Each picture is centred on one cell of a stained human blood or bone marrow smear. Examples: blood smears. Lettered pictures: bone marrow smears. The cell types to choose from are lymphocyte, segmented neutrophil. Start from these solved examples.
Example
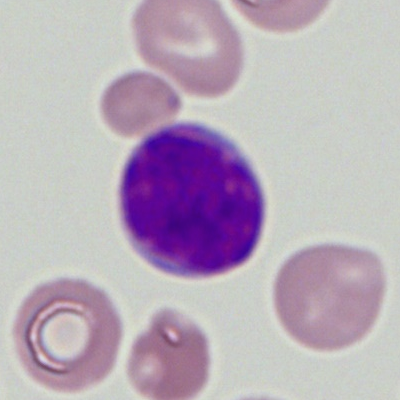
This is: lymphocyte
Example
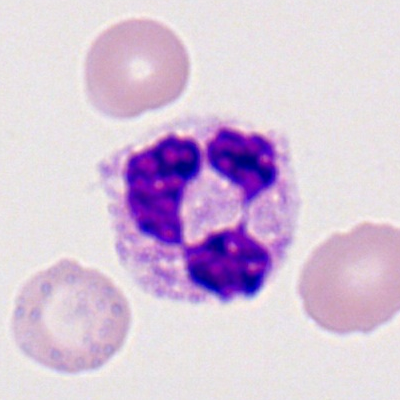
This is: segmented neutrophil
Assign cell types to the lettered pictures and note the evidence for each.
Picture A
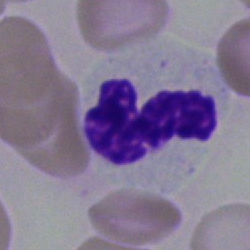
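segmented neutrophil. The cytoplasm is abundant and forms a wide zone around the nucleus.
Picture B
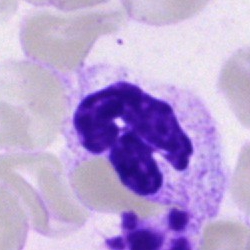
segmented neutrophil. The cytoplasm is abundant and pale lilac.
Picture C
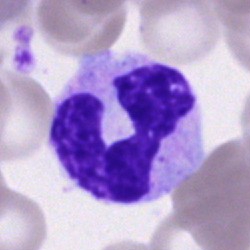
segmented neutrophil. The nucleus is a curved band bent into a U shape with its opening facing upward.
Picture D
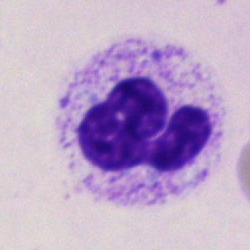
segmented neutrophil. Many fine lilac-purple granules are scattered throughout the cytoplasm.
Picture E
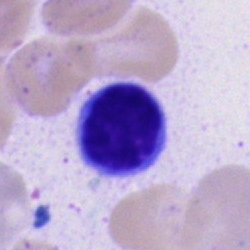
lymphocyte. The cytoplasm forms only a very thin rim around the nucleus.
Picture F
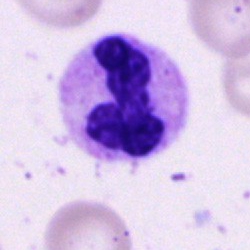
segmented neutrophil. The cytoplasm is plentiful and pale pinkish-lilac.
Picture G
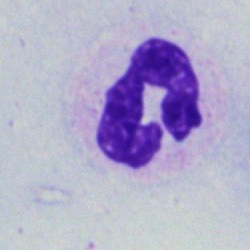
segmented neutrophil. The cytoplasm is abundant and pale pink.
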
